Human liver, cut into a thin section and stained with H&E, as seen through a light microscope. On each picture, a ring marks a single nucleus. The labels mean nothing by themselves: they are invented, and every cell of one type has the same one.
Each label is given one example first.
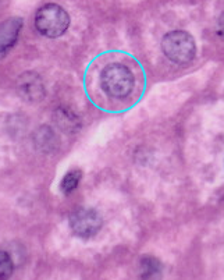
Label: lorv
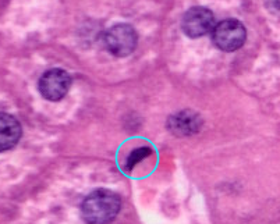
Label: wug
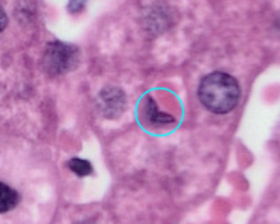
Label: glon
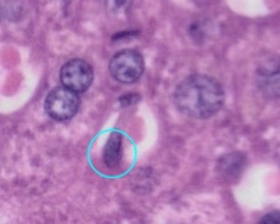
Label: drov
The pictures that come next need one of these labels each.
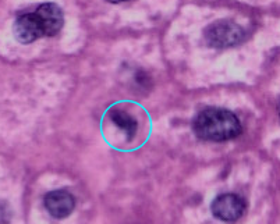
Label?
glon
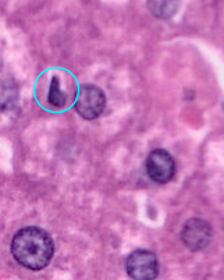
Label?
glon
